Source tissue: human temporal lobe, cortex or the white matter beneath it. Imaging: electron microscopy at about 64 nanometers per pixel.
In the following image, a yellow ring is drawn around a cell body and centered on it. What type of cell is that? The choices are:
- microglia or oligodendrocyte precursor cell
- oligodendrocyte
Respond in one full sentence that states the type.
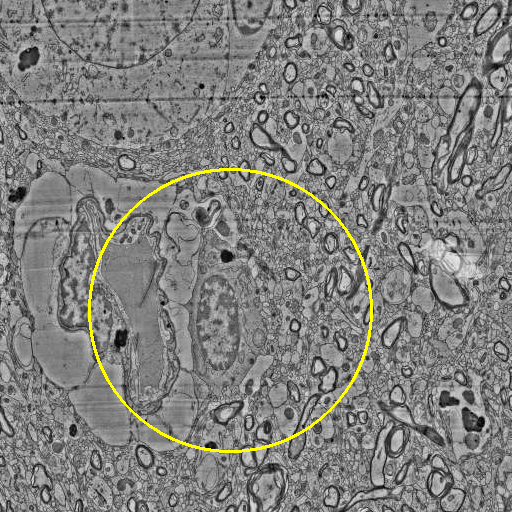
The cell at the center of the yellow ring in the image is an oligodendrocyte.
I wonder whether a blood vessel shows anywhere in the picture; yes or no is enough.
Yes, there is one.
